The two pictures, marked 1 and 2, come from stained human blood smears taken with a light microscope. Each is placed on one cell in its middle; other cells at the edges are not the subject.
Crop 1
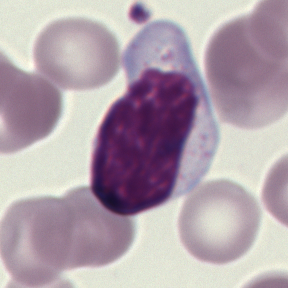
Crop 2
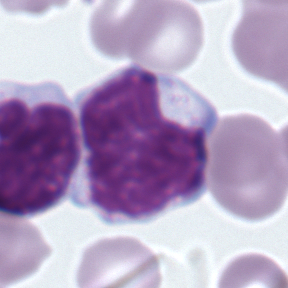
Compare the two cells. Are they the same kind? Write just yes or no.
yes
